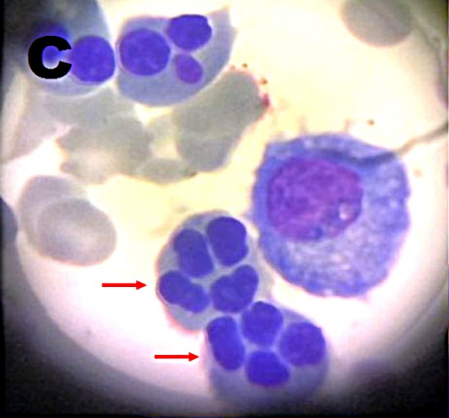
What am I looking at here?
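Erythroblasts of the bone marrow, several of which hold three to four or more nuclei. The nuclei are round, dark purple and of similar size, clustered together within one rim of pale bluish cytoplasm. A larger cell with a single round, paler purple nucleus and abundant blue cytoplasm lies beside them.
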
